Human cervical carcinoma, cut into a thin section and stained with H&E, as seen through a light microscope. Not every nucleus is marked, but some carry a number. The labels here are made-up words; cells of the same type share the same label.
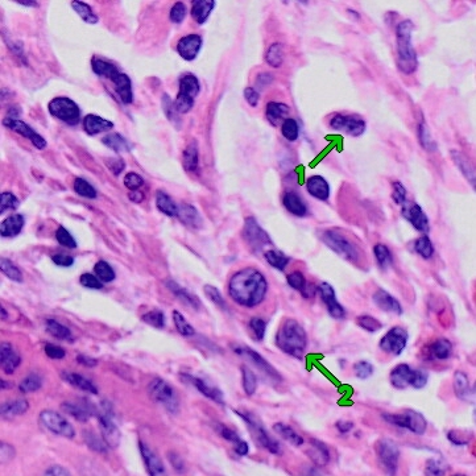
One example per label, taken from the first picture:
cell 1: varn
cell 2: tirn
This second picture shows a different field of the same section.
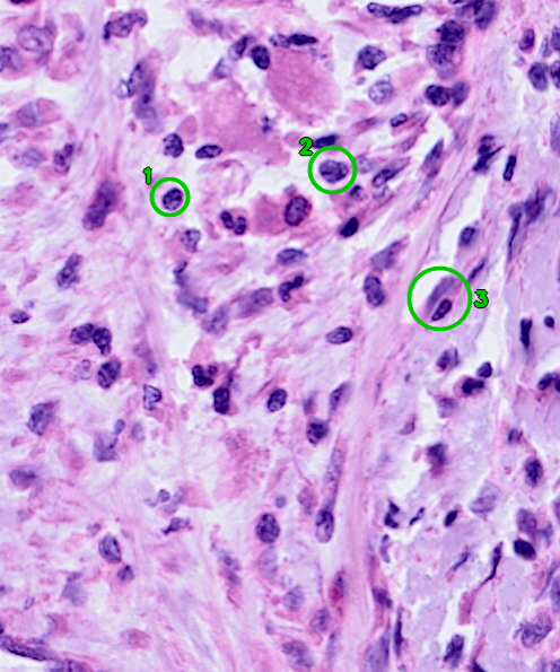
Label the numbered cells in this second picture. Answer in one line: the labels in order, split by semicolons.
varn; varn; tirn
